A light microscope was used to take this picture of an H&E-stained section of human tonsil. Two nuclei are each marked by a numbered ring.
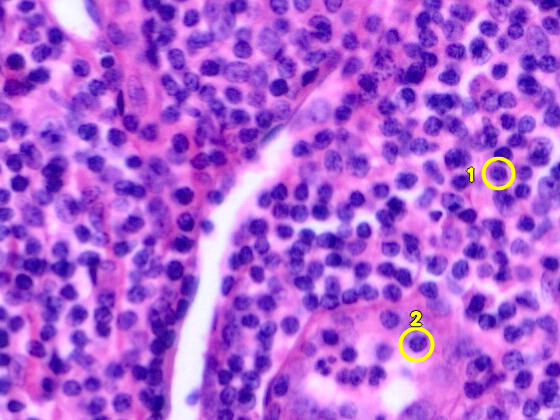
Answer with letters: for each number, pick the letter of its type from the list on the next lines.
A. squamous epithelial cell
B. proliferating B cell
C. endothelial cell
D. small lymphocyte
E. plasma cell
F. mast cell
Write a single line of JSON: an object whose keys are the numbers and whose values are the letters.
{"1": "D", "2": "C"}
